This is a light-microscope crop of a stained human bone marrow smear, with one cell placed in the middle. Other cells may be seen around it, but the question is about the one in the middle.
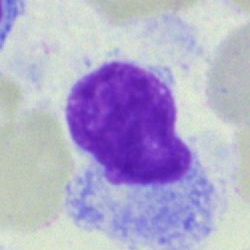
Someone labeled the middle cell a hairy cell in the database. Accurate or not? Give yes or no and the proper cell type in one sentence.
Yes, at the centre of the crop lies a hairy cell.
